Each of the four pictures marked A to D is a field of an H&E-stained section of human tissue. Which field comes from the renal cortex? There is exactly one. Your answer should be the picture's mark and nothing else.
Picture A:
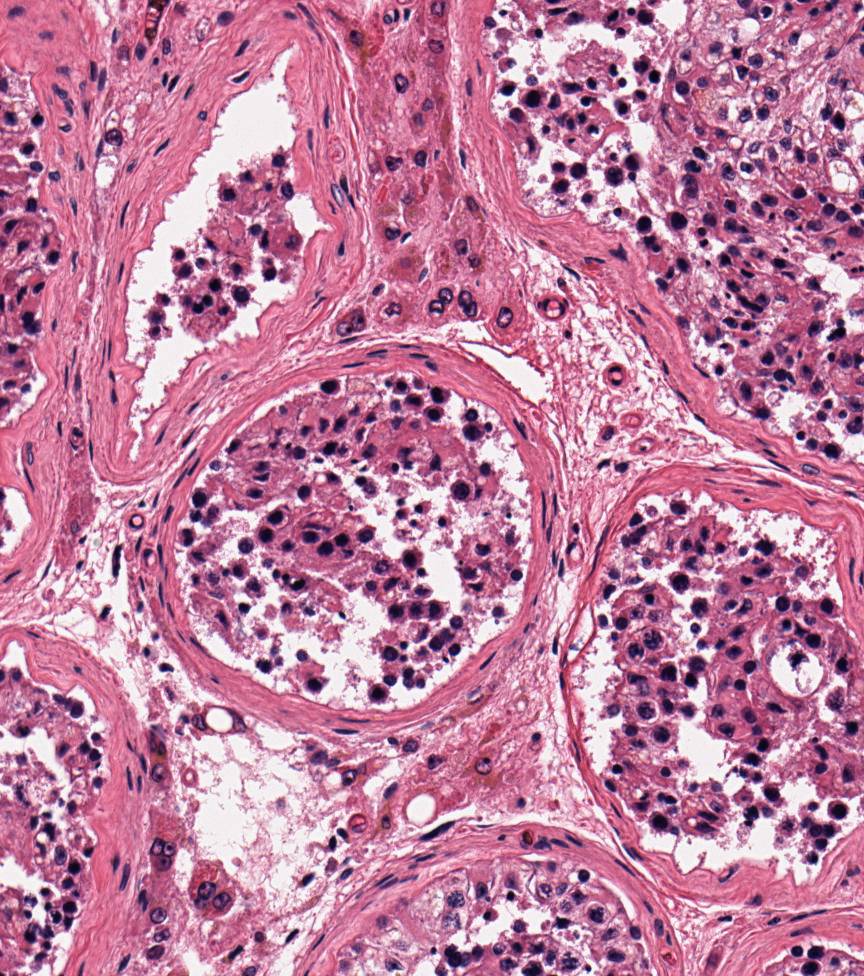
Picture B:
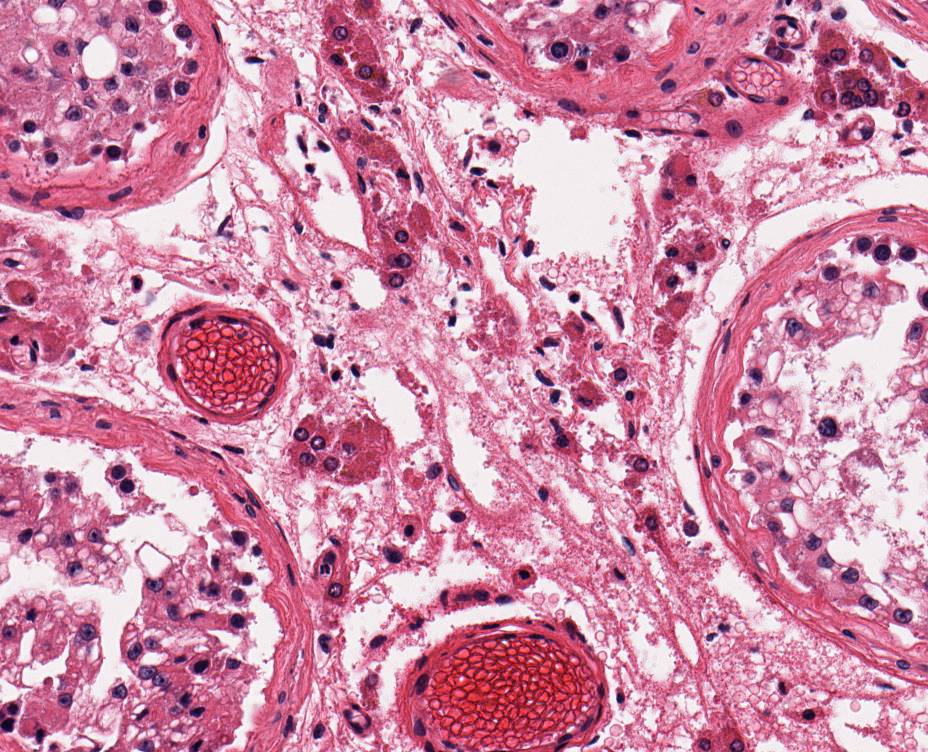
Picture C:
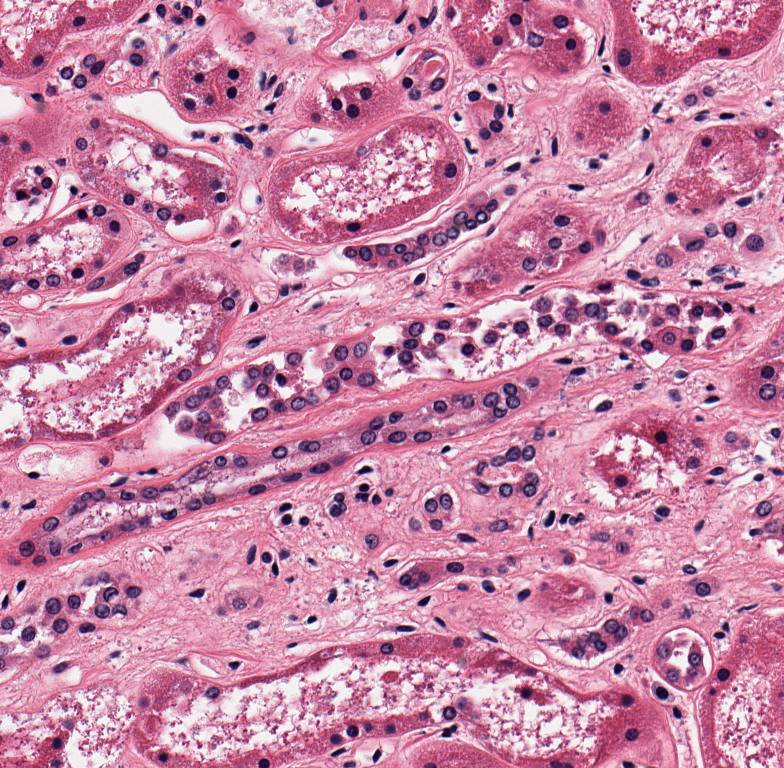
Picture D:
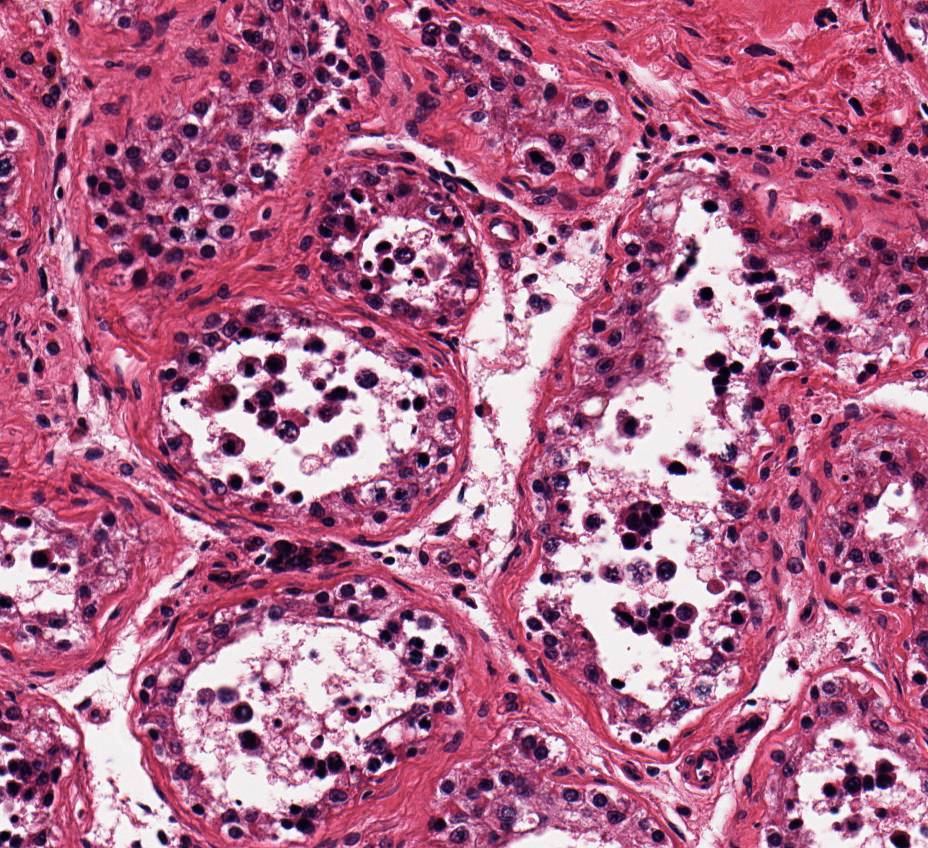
C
